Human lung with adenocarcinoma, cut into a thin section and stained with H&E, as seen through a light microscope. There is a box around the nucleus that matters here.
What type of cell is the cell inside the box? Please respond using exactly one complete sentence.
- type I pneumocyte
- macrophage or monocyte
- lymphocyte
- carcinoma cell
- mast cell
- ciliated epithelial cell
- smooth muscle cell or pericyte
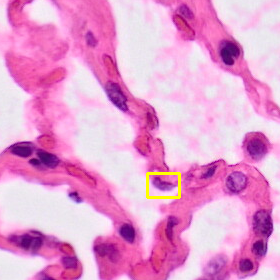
The cell type of the cell inside the box is that of a type I pneumocyte.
